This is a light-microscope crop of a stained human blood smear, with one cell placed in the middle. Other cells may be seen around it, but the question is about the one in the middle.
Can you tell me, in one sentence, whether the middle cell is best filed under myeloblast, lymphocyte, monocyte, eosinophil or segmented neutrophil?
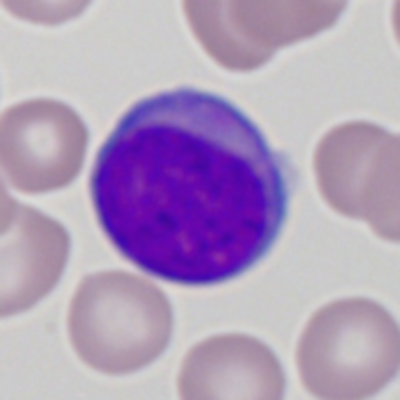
The cell at the middle of the frame should be recorded as a myeloblast.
